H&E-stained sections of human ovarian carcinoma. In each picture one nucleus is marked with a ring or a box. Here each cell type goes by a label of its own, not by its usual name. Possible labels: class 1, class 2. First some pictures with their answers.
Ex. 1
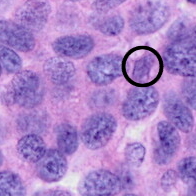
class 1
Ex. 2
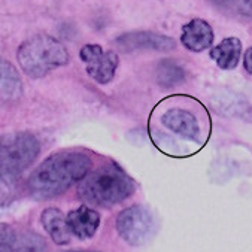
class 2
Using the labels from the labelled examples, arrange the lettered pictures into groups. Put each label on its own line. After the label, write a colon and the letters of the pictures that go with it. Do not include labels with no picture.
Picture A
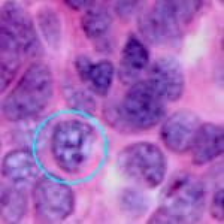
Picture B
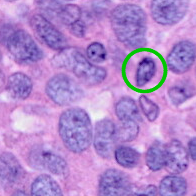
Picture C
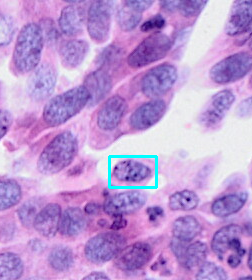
class 2: A, B, C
